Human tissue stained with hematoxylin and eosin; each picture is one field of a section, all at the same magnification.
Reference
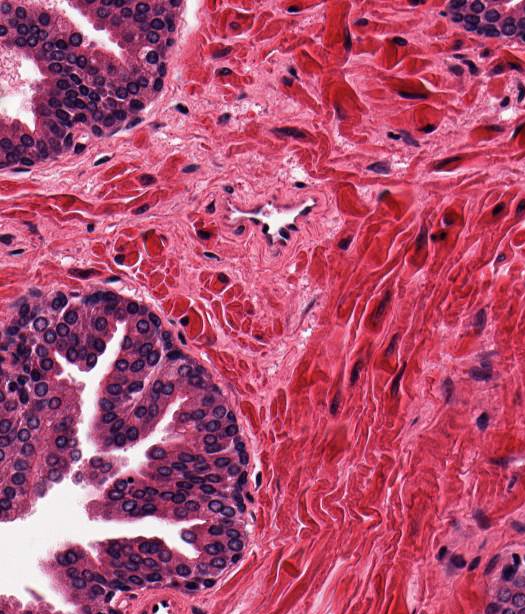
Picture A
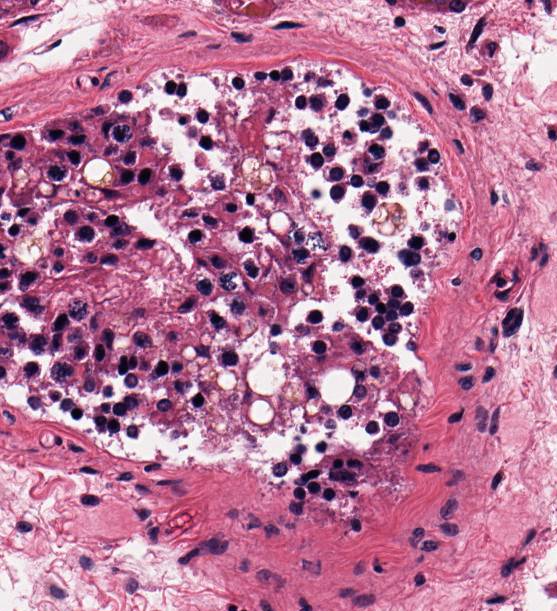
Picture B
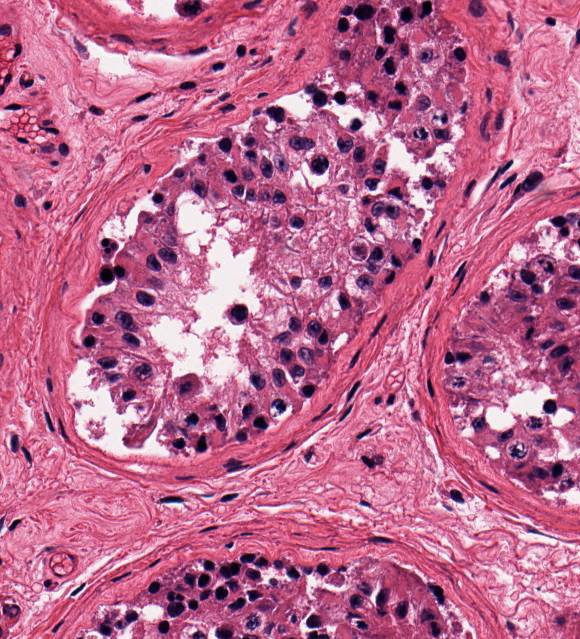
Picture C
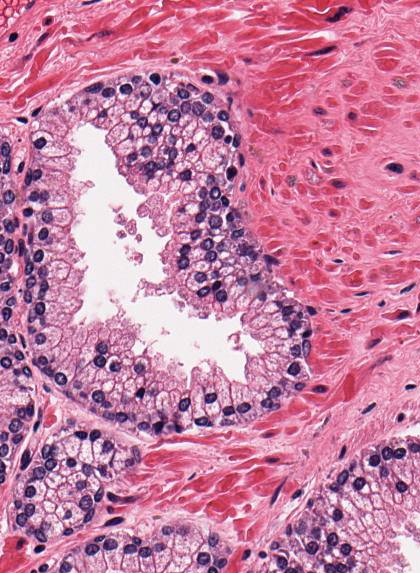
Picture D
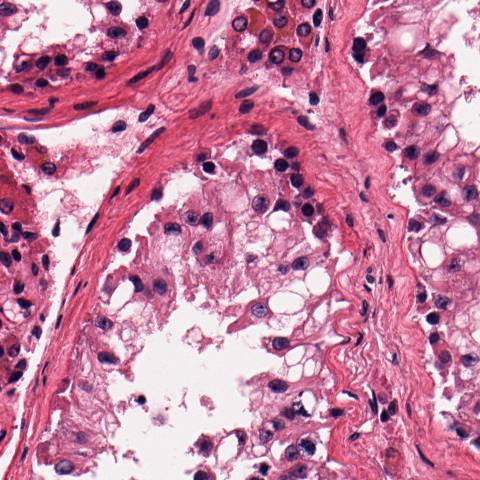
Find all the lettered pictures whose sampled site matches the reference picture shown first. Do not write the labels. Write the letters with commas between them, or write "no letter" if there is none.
C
